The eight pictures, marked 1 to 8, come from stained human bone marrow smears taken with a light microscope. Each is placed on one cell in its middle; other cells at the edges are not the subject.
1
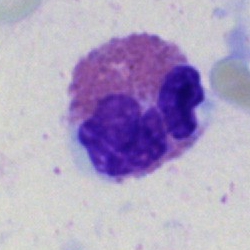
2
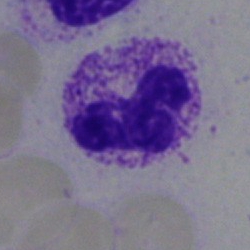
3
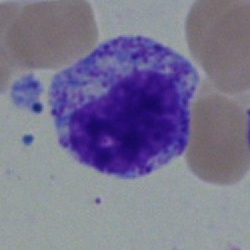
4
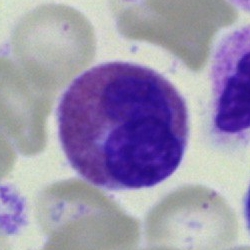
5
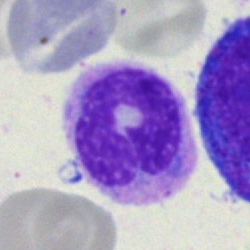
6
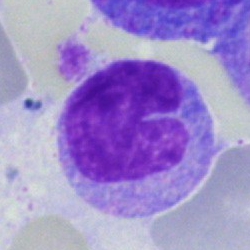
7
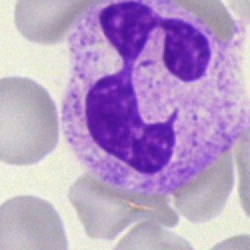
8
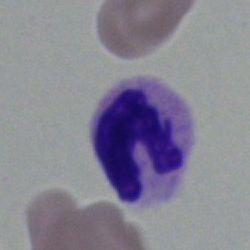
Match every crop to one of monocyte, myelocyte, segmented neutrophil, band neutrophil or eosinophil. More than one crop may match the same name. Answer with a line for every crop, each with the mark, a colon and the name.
1: eosinophil
2: segmented neutrophil
3: myelocyte
4: eosinophil
5: band neutrophil
6: monocyte
7: segmented neutrophil
8: segmented neutrophil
